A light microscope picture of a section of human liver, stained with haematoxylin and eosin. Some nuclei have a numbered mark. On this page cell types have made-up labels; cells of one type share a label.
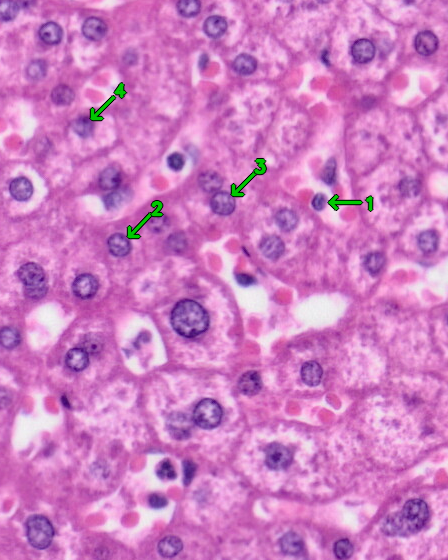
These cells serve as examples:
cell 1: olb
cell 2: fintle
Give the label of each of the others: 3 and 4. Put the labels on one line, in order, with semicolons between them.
fintle; fintle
